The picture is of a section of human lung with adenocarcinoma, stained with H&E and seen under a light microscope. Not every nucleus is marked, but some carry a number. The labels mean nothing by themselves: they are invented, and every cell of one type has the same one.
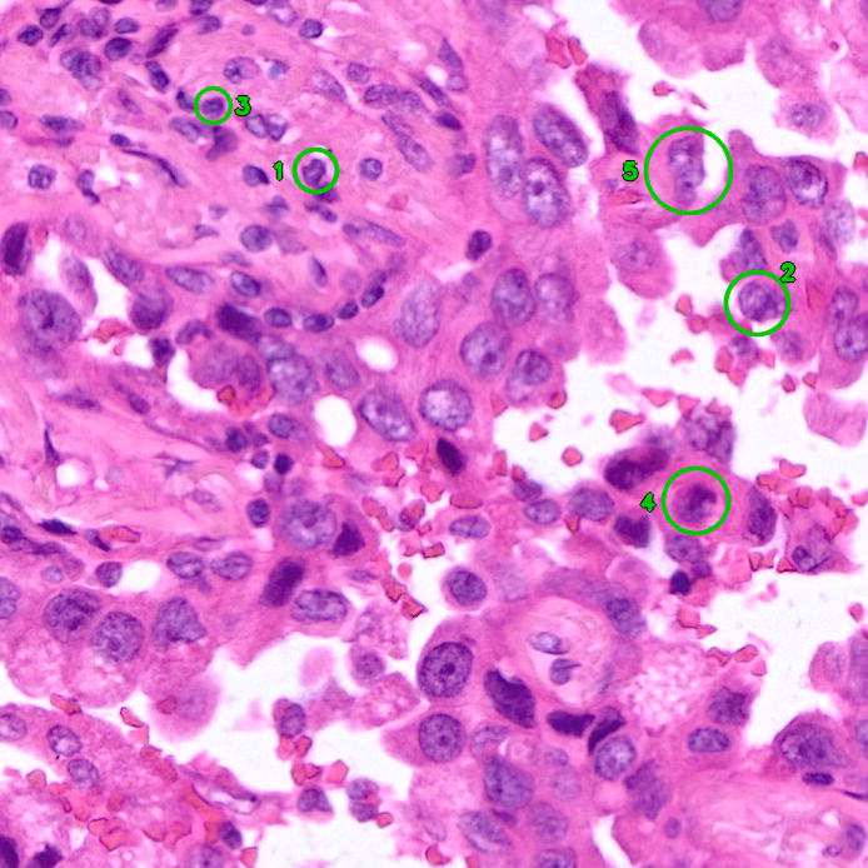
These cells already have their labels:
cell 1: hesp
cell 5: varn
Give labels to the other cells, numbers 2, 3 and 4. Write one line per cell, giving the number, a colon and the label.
2: varn
3: hesp
4: varn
